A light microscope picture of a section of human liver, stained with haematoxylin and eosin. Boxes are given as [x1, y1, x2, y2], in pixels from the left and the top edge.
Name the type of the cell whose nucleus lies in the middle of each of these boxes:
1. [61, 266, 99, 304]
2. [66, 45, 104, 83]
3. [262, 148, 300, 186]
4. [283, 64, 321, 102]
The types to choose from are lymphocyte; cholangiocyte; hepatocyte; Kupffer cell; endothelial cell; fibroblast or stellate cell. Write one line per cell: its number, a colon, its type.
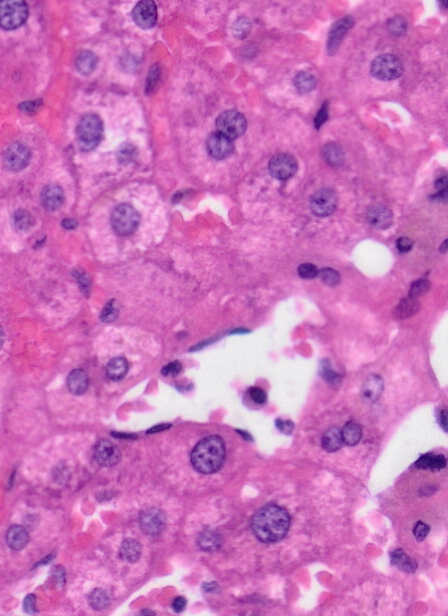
1: endothelial cell
2: hepatocyte
3: hepatocyte
4: hepatocyte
